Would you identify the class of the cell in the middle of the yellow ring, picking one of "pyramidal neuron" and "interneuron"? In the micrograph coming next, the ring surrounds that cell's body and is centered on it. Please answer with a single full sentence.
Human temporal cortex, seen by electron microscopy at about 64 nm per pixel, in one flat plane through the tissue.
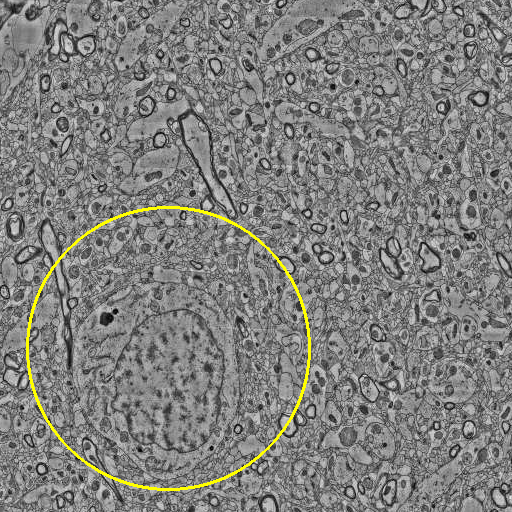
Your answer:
In the micrograph, it is a pyramidal neuron whose body lies at the ring's center.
